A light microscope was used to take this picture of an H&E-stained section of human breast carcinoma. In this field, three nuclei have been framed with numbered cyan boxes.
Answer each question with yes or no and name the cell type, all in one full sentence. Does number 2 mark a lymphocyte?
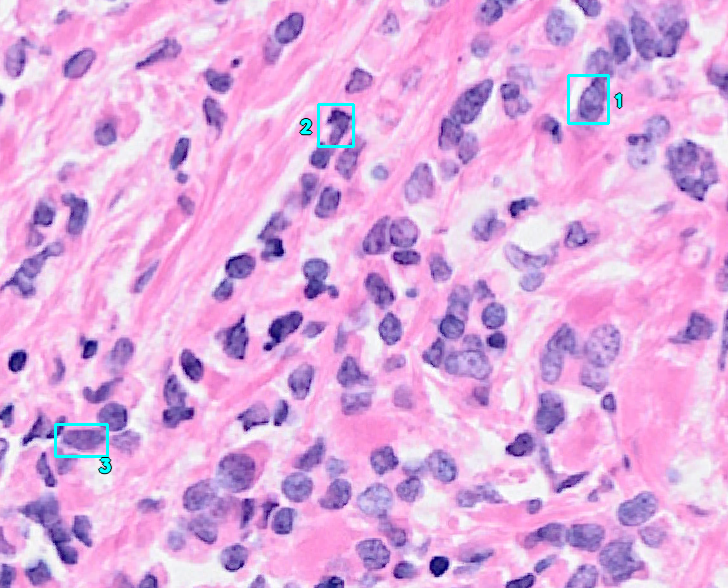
Yes, the cell bearing the number 2 is a lymphocyte.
